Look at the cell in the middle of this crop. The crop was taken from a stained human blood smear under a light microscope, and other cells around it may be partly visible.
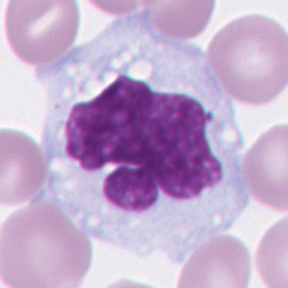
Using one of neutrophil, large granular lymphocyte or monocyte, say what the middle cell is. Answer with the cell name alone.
monocyte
